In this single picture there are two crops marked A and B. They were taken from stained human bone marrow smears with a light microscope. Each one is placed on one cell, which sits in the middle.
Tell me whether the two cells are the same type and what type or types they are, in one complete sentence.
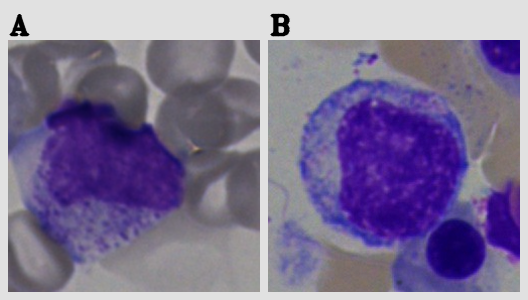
Yes, that is right, both crops show myelocytes.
